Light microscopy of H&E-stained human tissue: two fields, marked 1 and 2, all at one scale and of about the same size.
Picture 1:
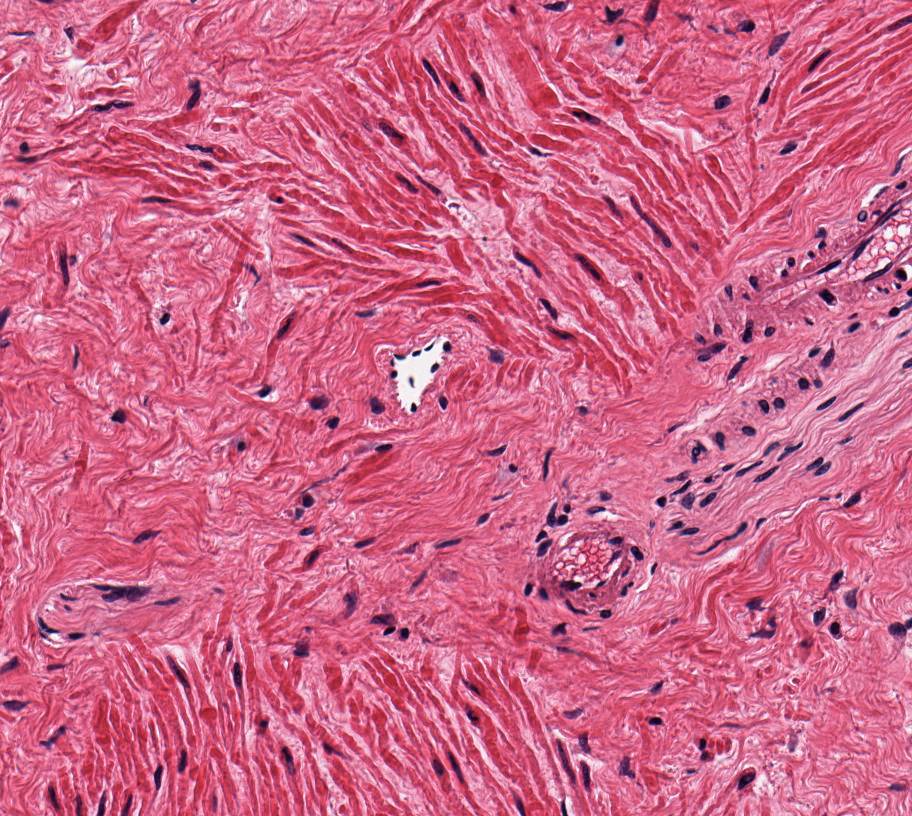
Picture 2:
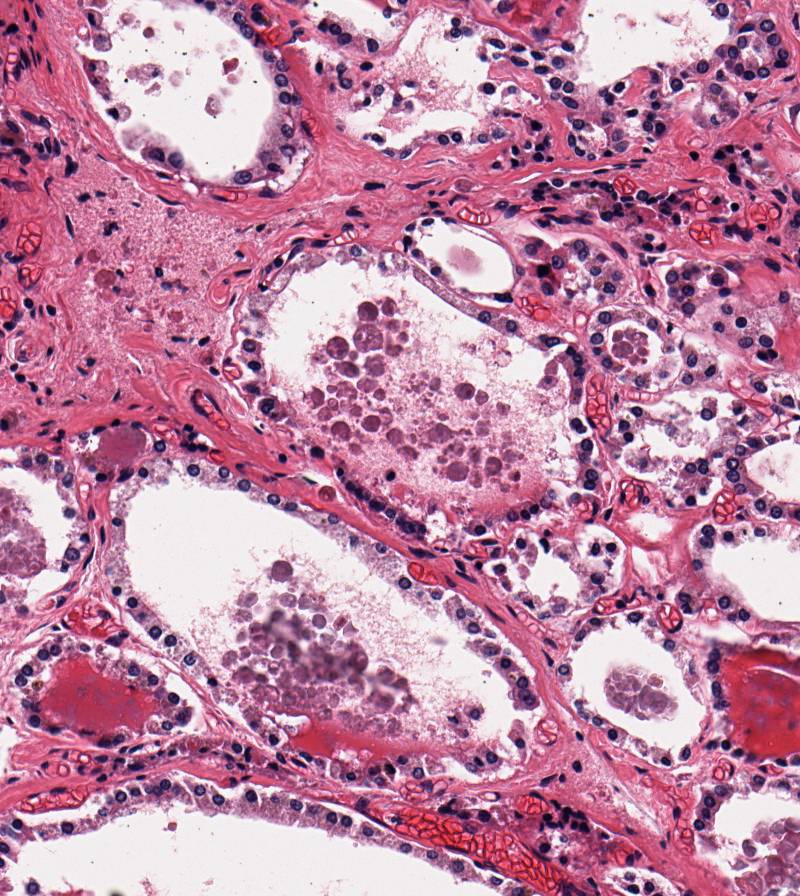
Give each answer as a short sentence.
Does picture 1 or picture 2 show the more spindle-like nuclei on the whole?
On the whole the nuclei of picture 1 are more drawn out than those of picture 2.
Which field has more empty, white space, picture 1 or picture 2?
Picture 2 has more white space.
